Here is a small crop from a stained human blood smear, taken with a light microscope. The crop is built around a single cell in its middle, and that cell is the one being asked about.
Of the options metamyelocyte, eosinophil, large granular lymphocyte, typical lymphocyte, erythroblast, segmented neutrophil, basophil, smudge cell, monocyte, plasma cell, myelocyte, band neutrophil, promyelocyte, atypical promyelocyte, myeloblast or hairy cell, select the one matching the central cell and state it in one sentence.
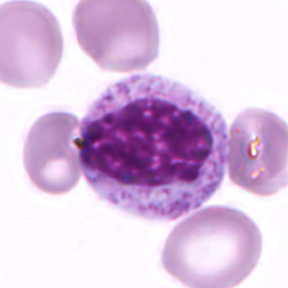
The target cell in the middle of the crop is a metamyelocyte.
